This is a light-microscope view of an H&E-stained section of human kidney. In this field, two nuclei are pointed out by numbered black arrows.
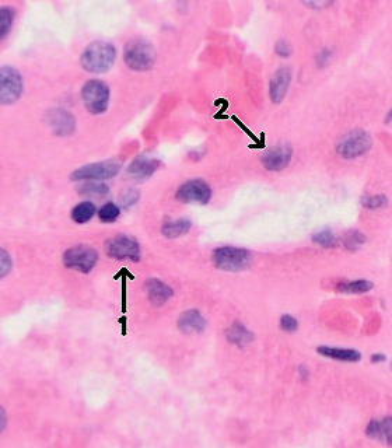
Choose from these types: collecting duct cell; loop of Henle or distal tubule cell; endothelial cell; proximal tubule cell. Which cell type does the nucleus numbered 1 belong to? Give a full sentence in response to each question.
Corresponding to a proximal tubule cell is the cell labelled 1.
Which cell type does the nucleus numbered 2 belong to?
The identity of cell 2 is that of a loop of Henle or distal tubule cell.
